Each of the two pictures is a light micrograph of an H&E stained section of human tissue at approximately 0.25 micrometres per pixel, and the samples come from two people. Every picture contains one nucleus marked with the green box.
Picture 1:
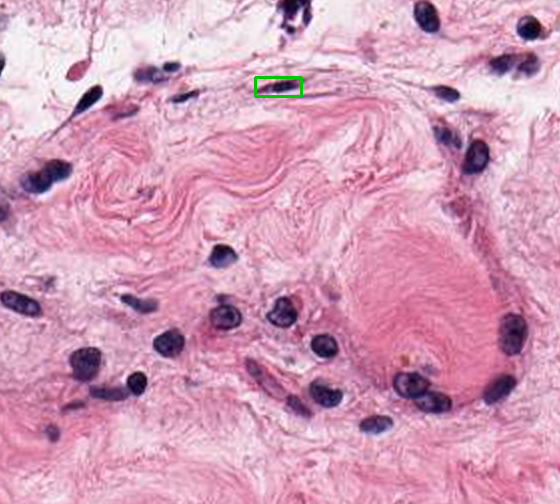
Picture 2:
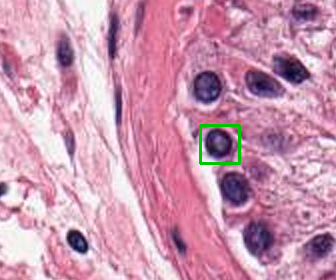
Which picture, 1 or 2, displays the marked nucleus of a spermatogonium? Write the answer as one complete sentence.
Belonging to a spermatogonium is the marked nucleus of picture 2.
